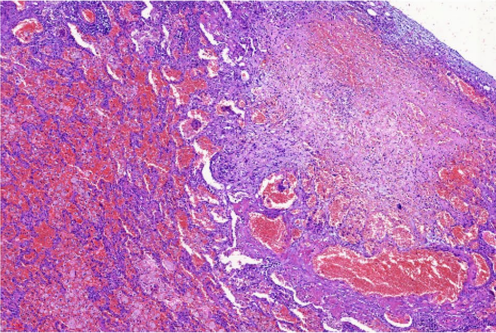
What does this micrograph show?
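This is lung tissue at low power where the air spaces on the left are filled with red blood cells, a picture of focal hemorrhage. Toward the right a paler, denser zone of spindle-shaped cells and fibrous tissue replaces the normal airy lung, with scattered small dark inflammatory cells. Blood-filled vessels and channels run through the border between the two zones. The normal open lace of thin alveolar walls is largely lost in this field.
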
